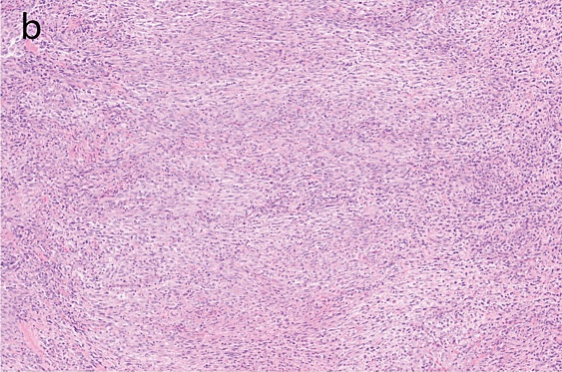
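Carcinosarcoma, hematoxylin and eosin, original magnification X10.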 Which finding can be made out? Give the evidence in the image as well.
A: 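Myxoid and loosely fascicular pattern. Elongated cells run in loose, sweeping bundles across the field. Paler, looser areas alternate with more cellular bands.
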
